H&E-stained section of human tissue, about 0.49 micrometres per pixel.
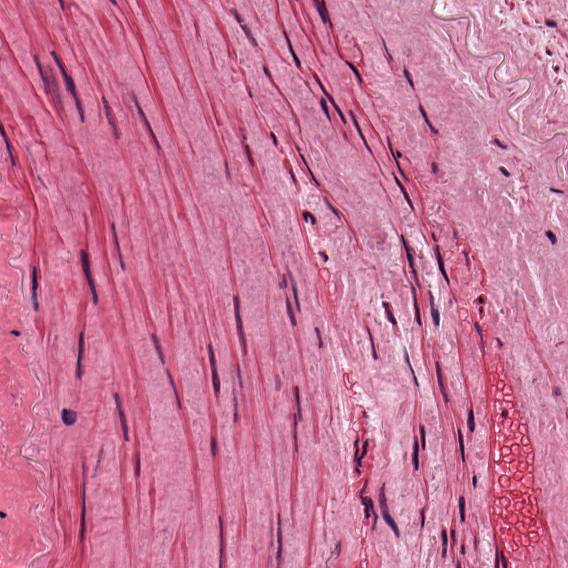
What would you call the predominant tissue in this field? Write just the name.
tunica media of an artery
